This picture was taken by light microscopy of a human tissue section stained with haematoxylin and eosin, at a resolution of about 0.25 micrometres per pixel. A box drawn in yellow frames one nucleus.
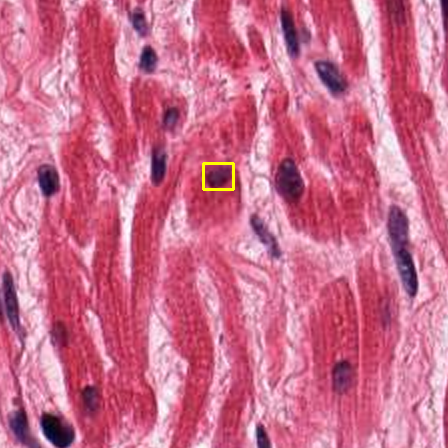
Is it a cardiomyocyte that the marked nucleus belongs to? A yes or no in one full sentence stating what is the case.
Yes, a cardiomyocyte is the owner of the marked nucleus.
